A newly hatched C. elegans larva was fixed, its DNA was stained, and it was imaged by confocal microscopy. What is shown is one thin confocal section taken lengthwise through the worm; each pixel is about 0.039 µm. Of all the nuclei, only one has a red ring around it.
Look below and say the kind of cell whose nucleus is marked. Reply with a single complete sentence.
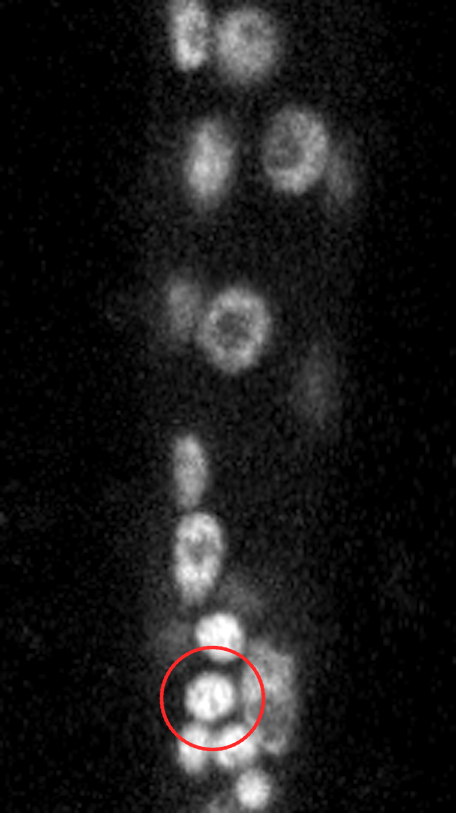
It belongs to a neuron.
